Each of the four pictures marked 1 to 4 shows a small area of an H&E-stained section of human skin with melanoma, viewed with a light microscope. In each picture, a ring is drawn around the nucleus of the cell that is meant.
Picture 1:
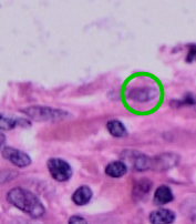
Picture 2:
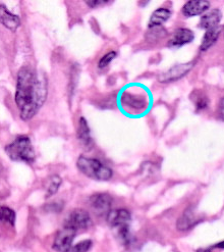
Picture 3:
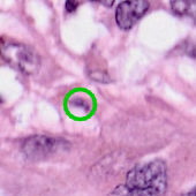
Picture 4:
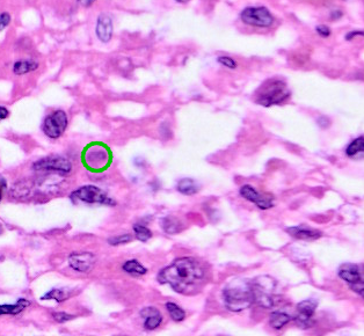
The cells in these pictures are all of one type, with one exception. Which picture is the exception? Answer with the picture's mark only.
2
